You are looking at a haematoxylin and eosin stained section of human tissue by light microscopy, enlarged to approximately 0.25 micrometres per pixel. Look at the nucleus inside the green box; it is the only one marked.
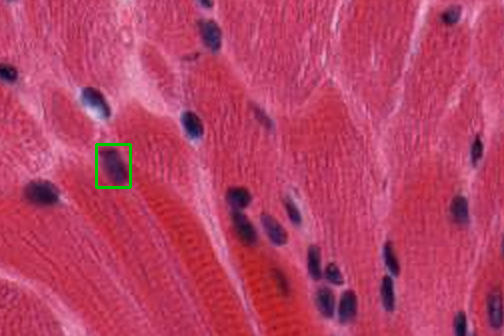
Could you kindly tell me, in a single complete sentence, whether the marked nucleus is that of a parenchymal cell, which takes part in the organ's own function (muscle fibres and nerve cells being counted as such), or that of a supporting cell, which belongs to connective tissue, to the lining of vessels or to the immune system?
In the section shown, the marked nucleus belongs to a parenchymal cell, namely a skeletal muscle fibre.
